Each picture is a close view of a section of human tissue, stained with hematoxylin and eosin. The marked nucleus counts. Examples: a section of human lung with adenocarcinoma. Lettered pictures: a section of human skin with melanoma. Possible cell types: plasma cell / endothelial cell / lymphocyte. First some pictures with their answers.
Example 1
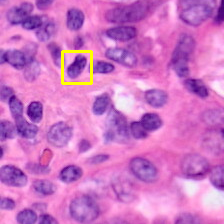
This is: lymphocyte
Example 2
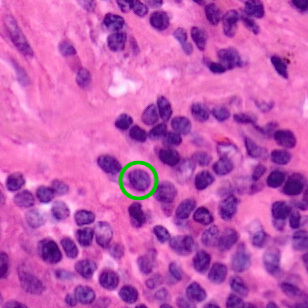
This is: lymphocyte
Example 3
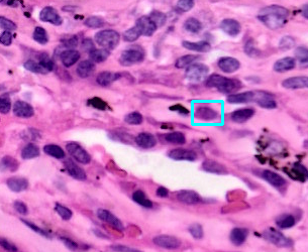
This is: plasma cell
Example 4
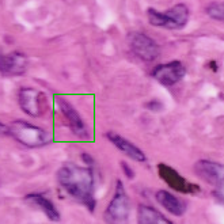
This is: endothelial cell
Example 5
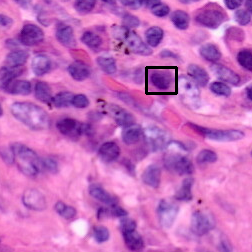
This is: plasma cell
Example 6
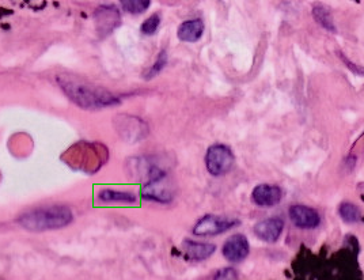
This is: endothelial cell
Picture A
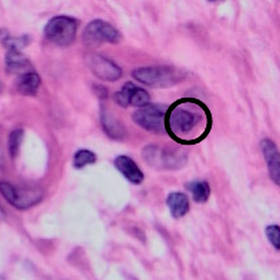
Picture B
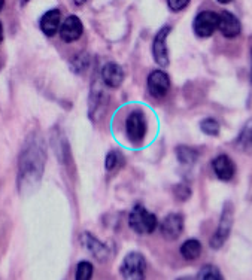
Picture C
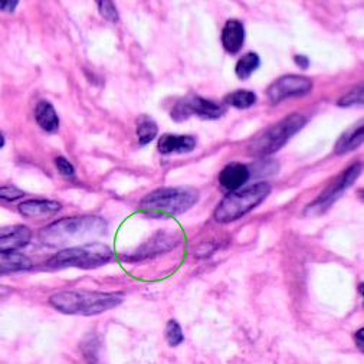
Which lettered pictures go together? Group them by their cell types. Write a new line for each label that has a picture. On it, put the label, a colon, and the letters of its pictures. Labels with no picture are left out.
plasma cell: B
endothelial cell: A, C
